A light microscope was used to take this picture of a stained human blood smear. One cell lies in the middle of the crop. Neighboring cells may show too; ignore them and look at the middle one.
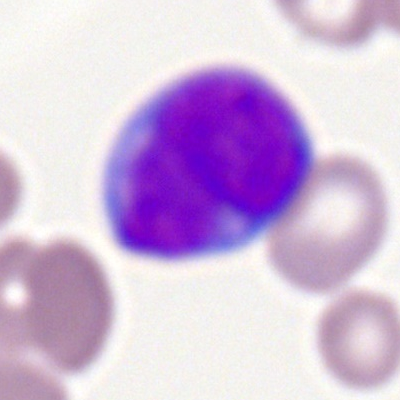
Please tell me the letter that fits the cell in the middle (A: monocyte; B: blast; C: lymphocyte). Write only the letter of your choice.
B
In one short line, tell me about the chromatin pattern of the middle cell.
What stands out is fine chromatin lacking any coarse clumps.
